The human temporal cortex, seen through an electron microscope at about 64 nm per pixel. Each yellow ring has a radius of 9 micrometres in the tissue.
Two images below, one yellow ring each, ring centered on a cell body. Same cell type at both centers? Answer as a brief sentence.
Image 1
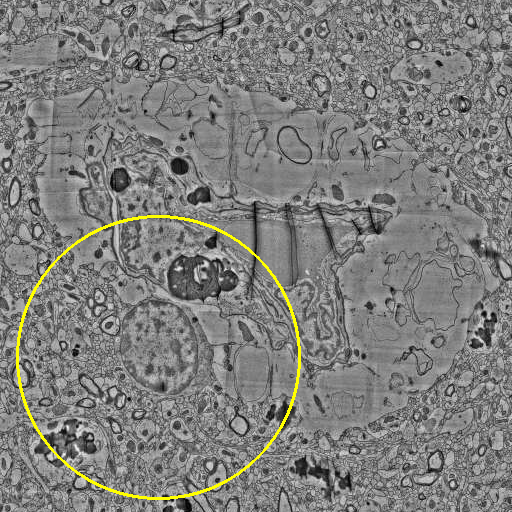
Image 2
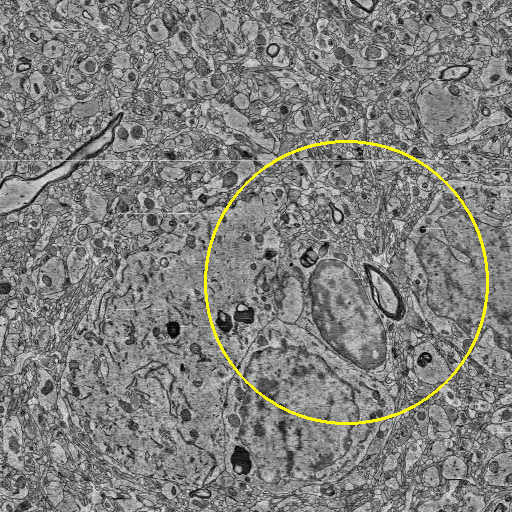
No, the cells are of two separate types.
